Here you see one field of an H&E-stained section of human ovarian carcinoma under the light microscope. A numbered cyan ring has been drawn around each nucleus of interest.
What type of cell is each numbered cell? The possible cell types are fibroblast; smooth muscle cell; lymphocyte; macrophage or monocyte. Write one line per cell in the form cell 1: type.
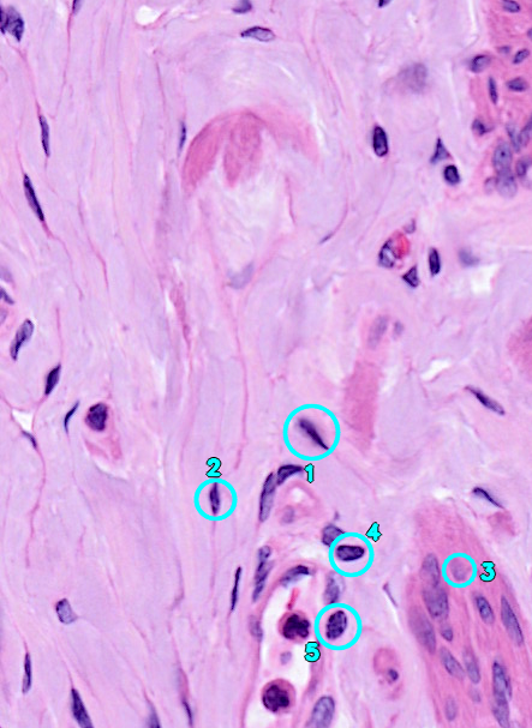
cell 1: fibroblast
cell 2: fibroblast
cell 3: smooth muscle cell
cell 4: lymphocyte
cell 5: lymphocyte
